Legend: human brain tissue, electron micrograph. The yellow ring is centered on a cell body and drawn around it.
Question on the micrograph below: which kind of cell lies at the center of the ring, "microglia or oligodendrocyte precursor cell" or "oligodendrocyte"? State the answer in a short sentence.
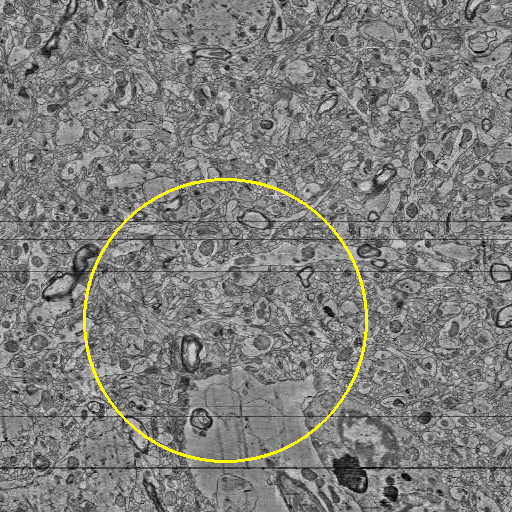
At the center of the ring lies a microglial cell or oligodendrocyte precursor cell.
